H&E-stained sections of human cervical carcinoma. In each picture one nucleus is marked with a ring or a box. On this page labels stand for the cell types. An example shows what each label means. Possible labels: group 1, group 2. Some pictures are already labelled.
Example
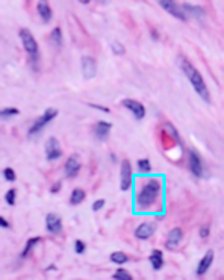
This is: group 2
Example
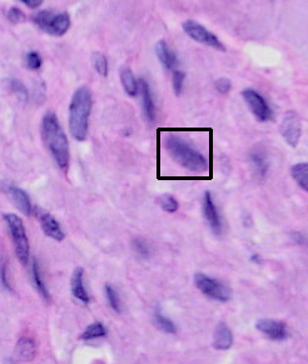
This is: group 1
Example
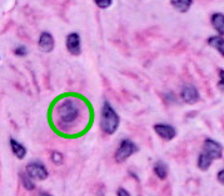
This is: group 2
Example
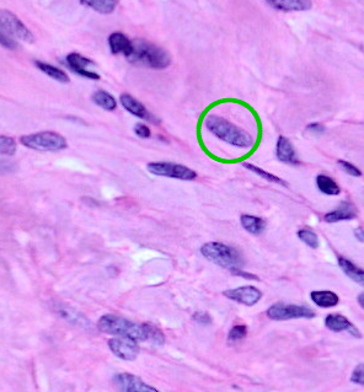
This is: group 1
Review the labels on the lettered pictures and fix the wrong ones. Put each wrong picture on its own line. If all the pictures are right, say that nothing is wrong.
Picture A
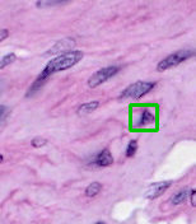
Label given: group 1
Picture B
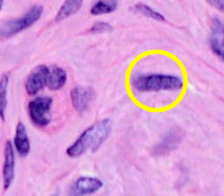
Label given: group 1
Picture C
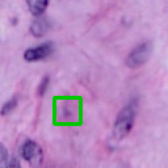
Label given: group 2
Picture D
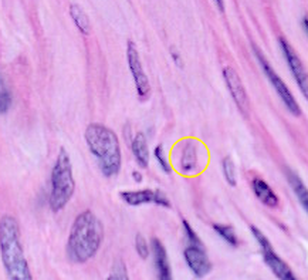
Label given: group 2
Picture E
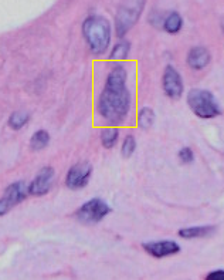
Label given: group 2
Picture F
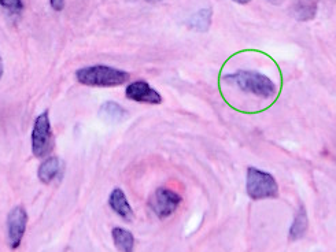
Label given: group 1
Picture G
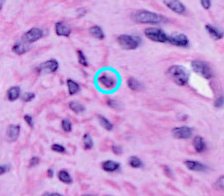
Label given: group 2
A is labelled group 1; correct label: group 2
